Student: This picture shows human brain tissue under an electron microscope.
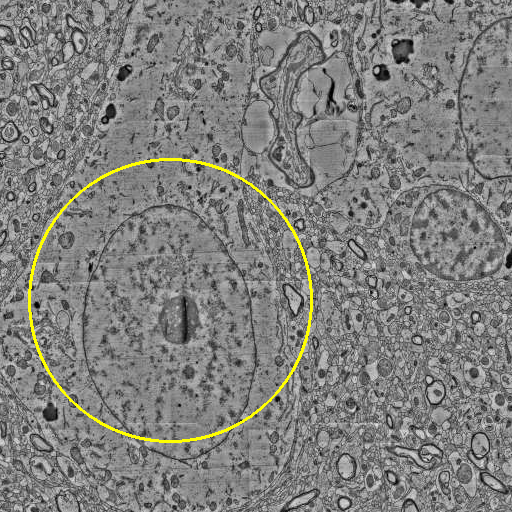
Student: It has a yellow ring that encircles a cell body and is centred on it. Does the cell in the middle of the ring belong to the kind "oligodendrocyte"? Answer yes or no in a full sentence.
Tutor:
No, the cell in the middle of the ring in this picture is of another kind.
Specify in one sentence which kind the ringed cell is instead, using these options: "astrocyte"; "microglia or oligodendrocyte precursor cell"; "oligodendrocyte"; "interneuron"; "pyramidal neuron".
Instead, the cell at the centre of the yellow ring is a pyramidal neuron.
